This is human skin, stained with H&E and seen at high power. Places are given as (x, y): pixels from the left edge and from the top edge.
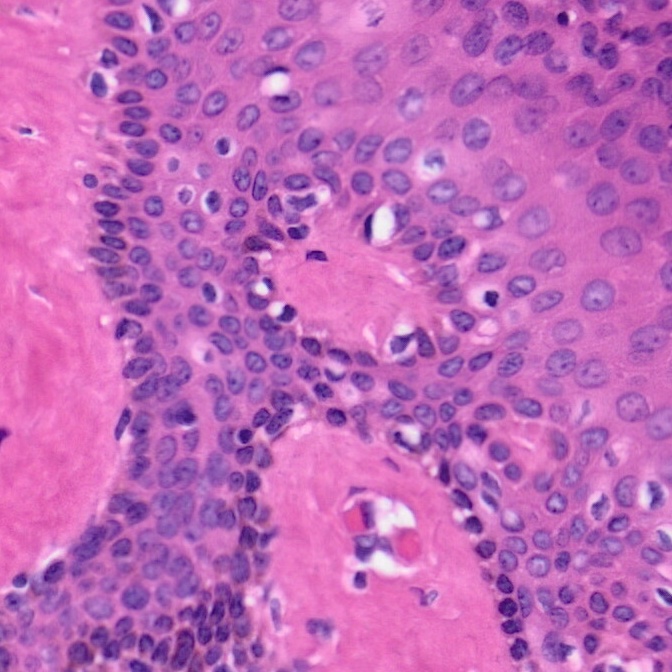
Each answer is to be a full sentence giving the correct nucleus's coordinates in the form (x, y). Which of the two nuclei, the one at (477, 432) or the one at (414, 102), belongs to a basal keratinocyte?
Of the two nuclei, it is the one at (477, 432) that lies within a basal keratinocyte.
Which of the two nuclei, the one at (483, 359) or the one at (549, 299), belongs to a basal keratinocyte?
Identify the nucleus at (483, 359) as the one belonging to a basal keratinocyte.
